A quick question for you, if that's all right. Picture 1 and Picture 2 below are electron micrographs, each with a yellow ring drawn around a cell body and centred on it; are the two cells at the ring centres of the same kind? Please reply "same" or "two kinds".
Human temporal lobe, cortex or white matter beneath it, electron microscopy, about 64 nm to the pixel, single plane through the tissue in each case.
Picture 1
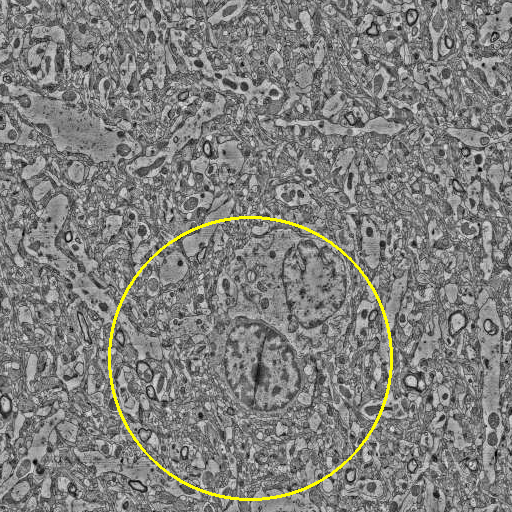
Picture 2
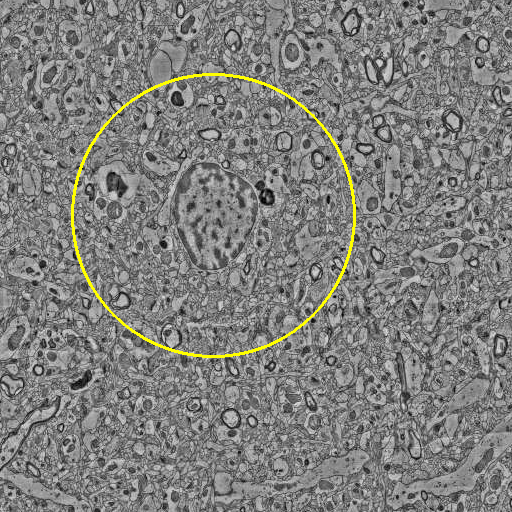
two kinds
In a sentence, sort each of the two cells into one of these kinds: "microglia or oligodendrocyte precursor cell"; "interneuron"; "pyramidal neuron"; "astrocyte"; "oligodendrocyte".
The first of the two cells is an oligodendrocyte, and the second is a microglial cell or oligodendrocyte precursor cell.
